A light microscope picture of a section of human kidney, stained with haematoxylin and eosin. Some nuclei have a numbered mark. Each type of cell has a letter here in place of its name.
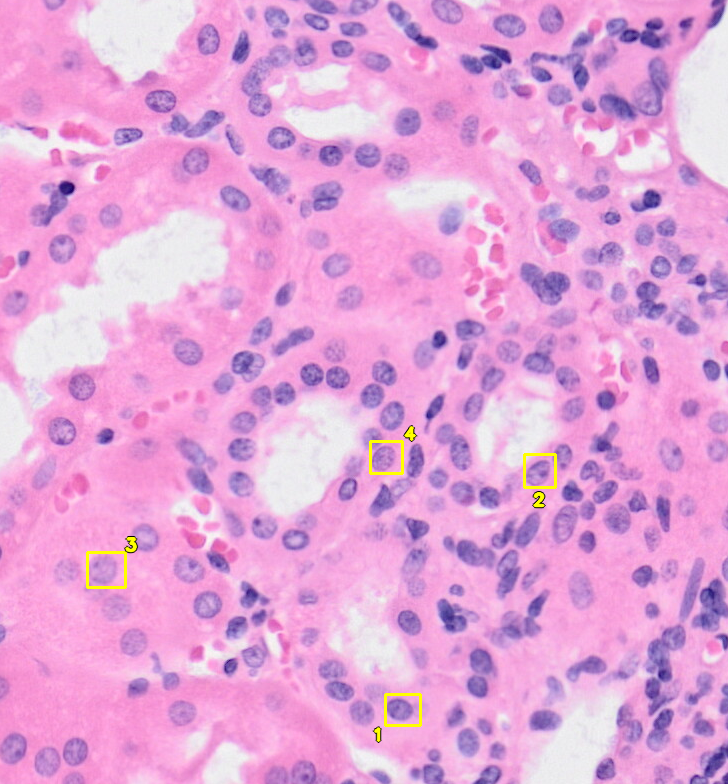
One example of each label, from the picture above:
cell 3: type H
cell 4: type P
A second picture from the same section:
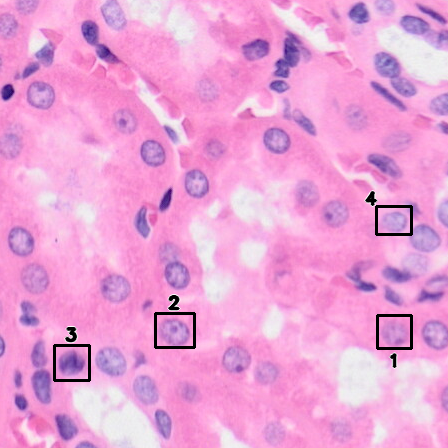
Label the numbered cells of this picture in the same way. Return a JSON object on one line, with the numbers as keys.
{"1": "type H", "2": "type H", "3": "type P", "4": "type P"}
